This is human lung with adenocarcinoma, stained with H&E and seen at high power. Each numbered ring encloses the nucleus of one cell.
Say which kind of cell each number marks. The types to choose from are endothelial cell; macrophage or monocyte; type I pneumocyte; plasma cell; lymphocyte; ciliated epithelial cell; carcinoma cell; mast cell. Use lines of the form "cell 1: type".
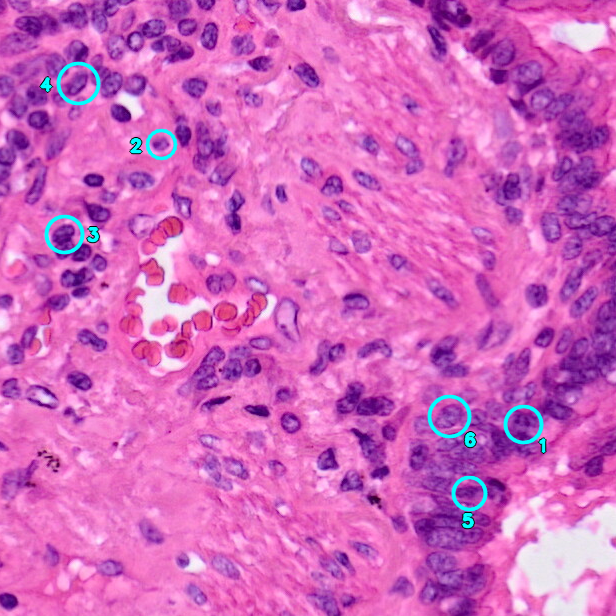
cell 1: ciliated epithelial cell
cell 2: lymphocyte
cell 3: lymphocyte
cell 4: lymphocyte
cell 5: ciliated epithelial cell
cell 6: ciliated epithelial cell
